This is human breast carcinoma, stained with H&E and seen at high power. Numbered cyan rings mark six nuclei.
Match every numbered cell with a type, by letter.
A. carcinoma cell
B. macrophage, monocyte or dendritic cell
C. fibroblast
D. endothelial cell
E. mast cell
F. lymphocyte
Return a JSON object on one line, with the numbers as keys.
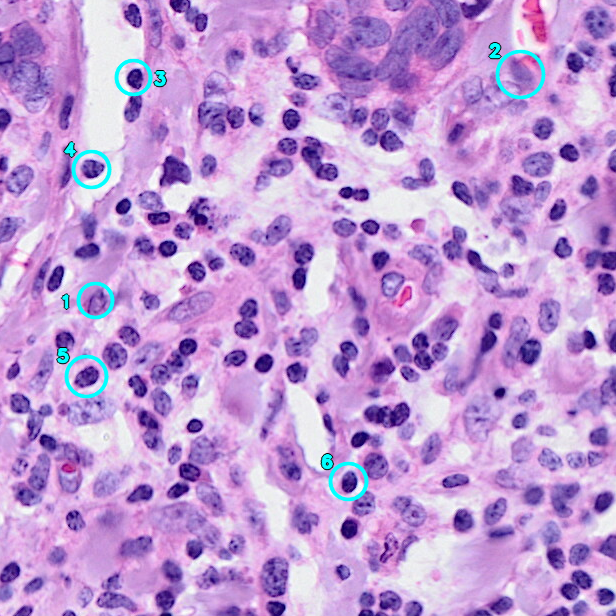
{"1": "B", "2": "D", "3": "F", "4": "F", "5": "F", "6": "F"}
